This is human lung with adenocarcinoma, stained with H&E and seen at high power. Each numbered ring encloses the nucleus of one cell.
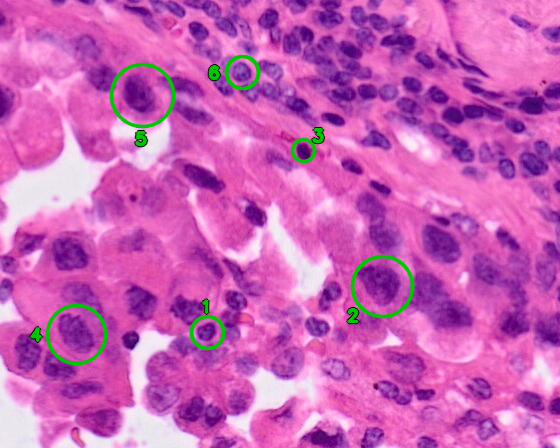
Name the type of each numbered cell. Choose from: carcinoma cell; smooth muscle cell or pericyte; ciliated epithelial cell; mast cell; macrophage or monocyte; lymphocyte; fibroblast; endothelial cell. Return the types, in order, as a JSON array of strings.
["lymphocyte", "carcinoma cell", "lymphocyte", "carcinoma cell", "carcinoma cell", "lymphocyte"]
